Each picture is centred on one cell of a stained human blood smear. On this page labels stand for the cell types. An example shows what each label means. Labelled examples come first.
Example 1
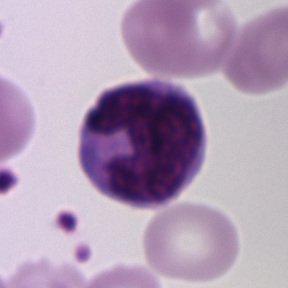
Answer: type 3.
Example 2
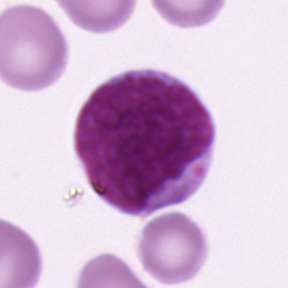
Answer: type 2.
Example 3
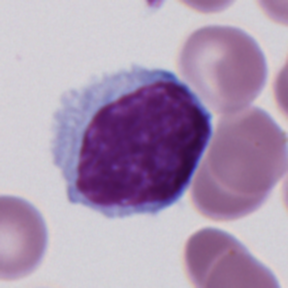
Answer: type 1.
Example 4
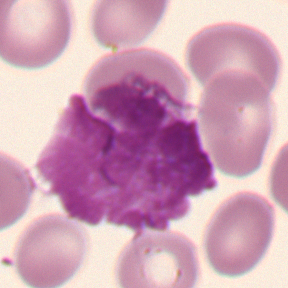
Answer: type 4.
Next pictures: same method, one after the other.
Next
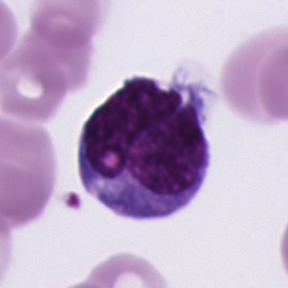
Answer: type 3.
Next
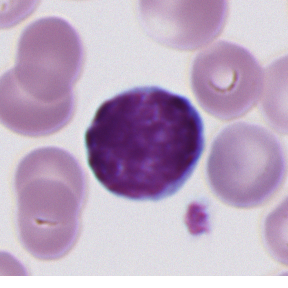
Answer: type 1.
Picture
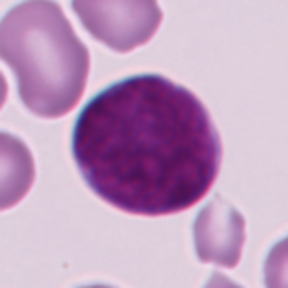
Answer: type 2.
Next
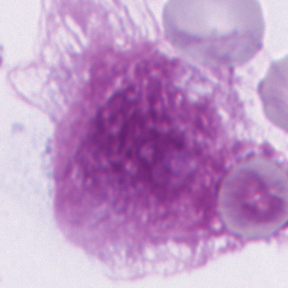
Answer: type 4.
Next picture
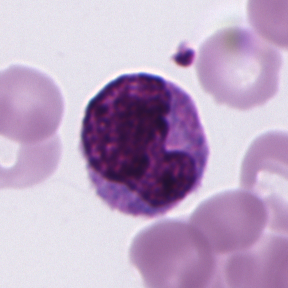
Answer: type 3.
